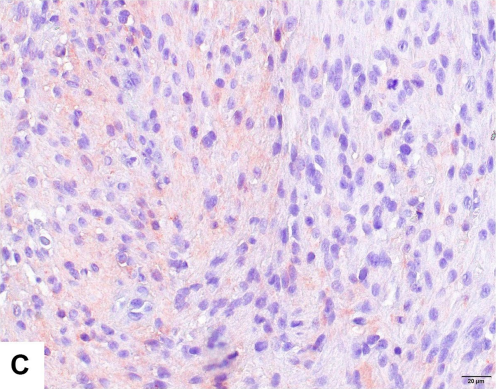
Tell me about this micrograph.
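Neoplastic tissue of closely set oval to spindle cells is shown, with blue-counterstained nuclei and a pale fibrillar background. The nuclei are oval to elongated and vary somewhat in size. A faint to moderate reddish-orange stain lies in the cytoplasm and fine processes between the nuclei, stronger in some areas, particularly on the left, and weaker in others. The cells are arranged loosely in streams without a clear orderly pattern.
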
